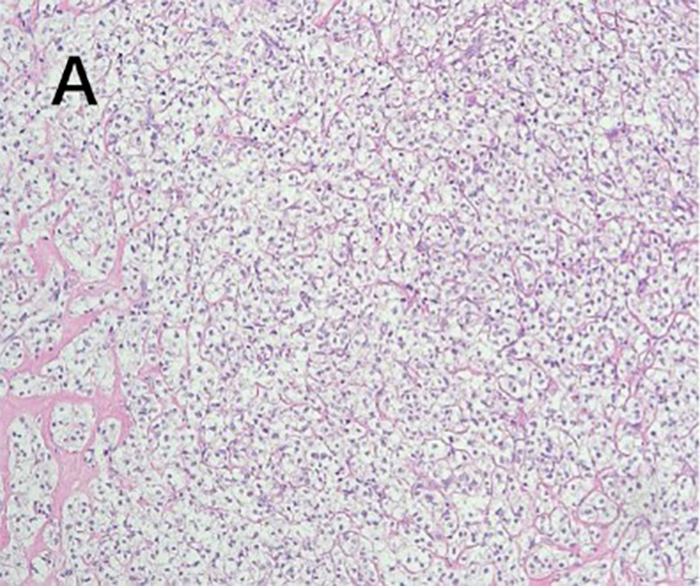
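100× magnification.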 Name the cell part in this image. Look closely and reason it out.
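Clear cytoplasm. Cell bodies appear pale and nearly unstained. Small dark nuclei within pale cells.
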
